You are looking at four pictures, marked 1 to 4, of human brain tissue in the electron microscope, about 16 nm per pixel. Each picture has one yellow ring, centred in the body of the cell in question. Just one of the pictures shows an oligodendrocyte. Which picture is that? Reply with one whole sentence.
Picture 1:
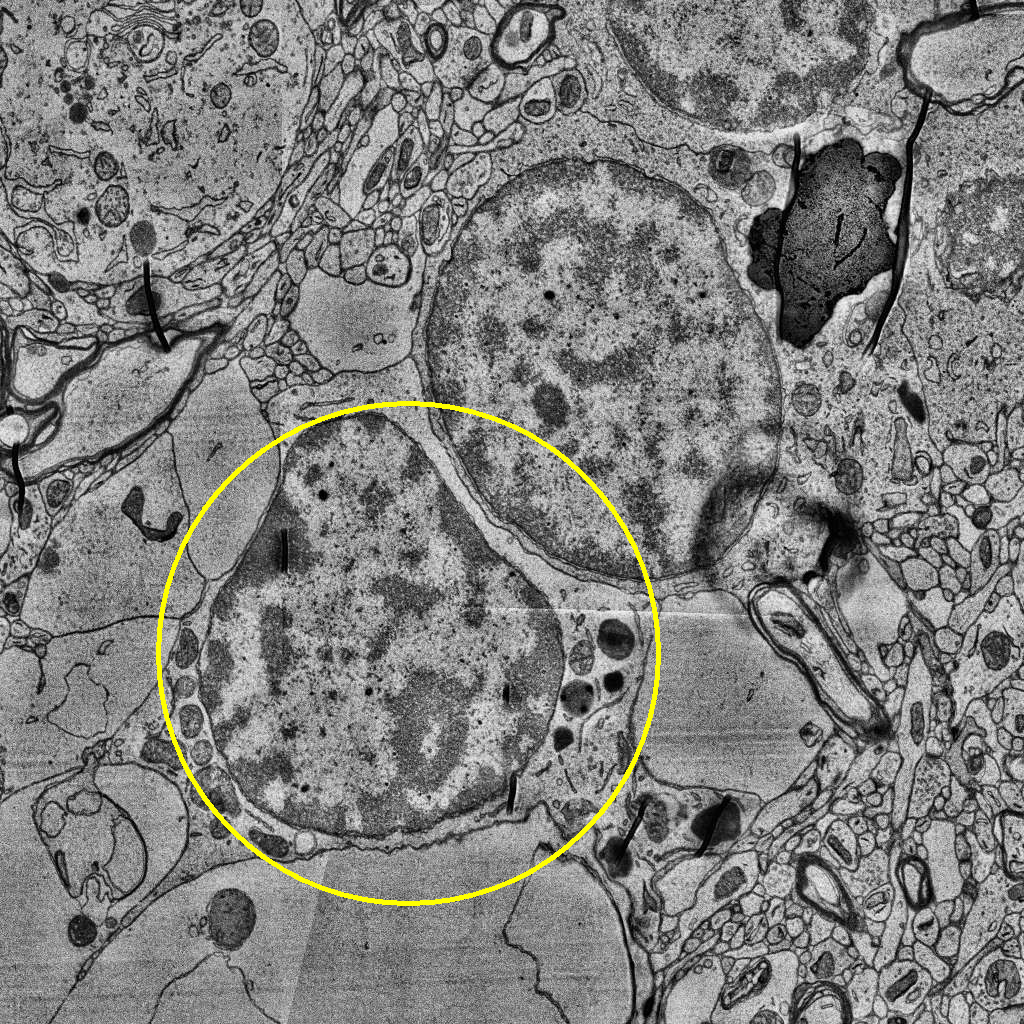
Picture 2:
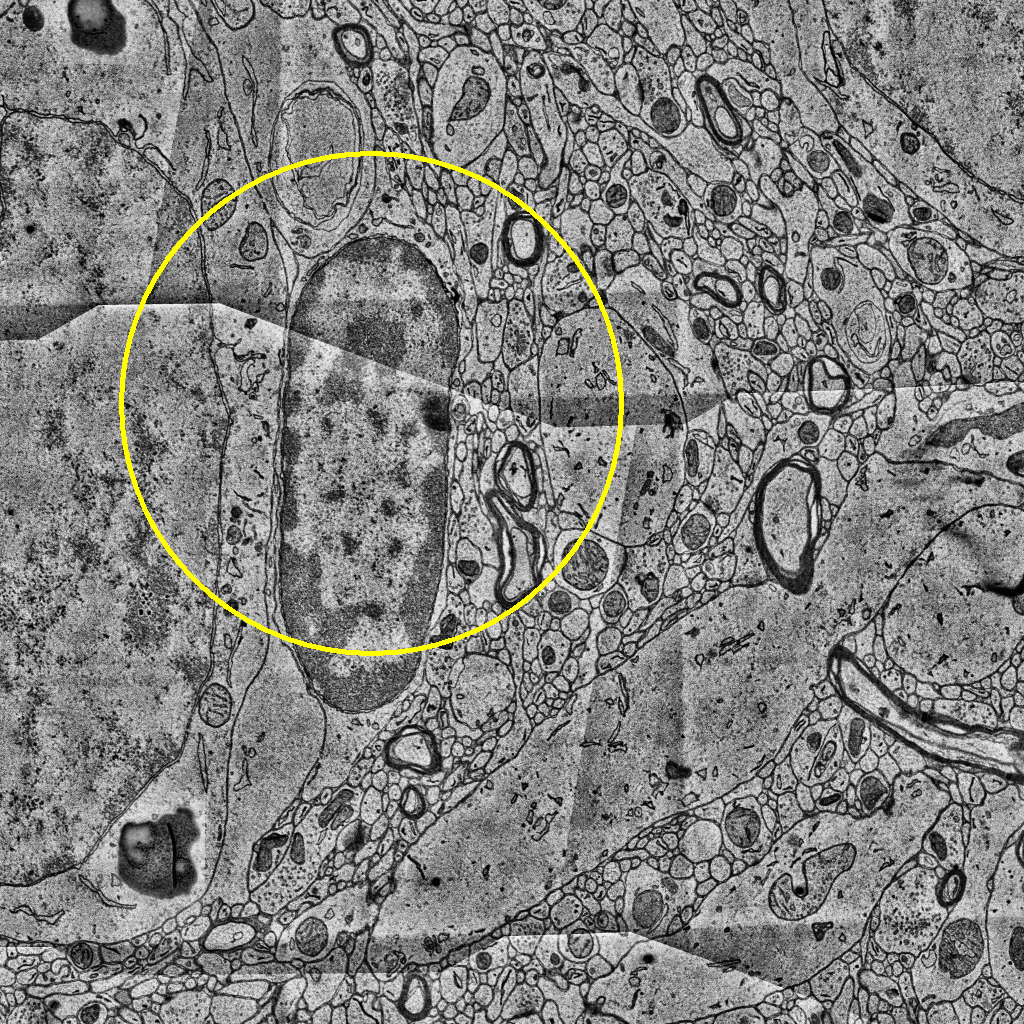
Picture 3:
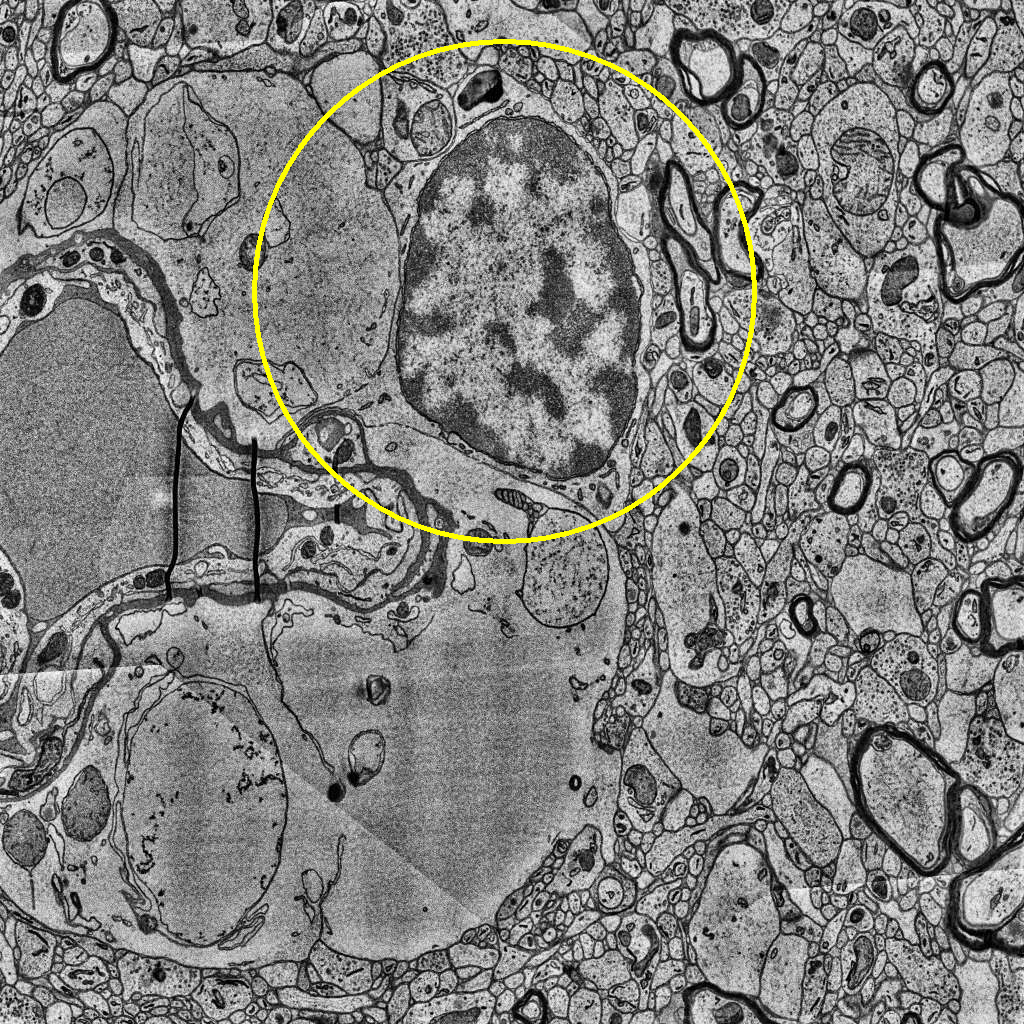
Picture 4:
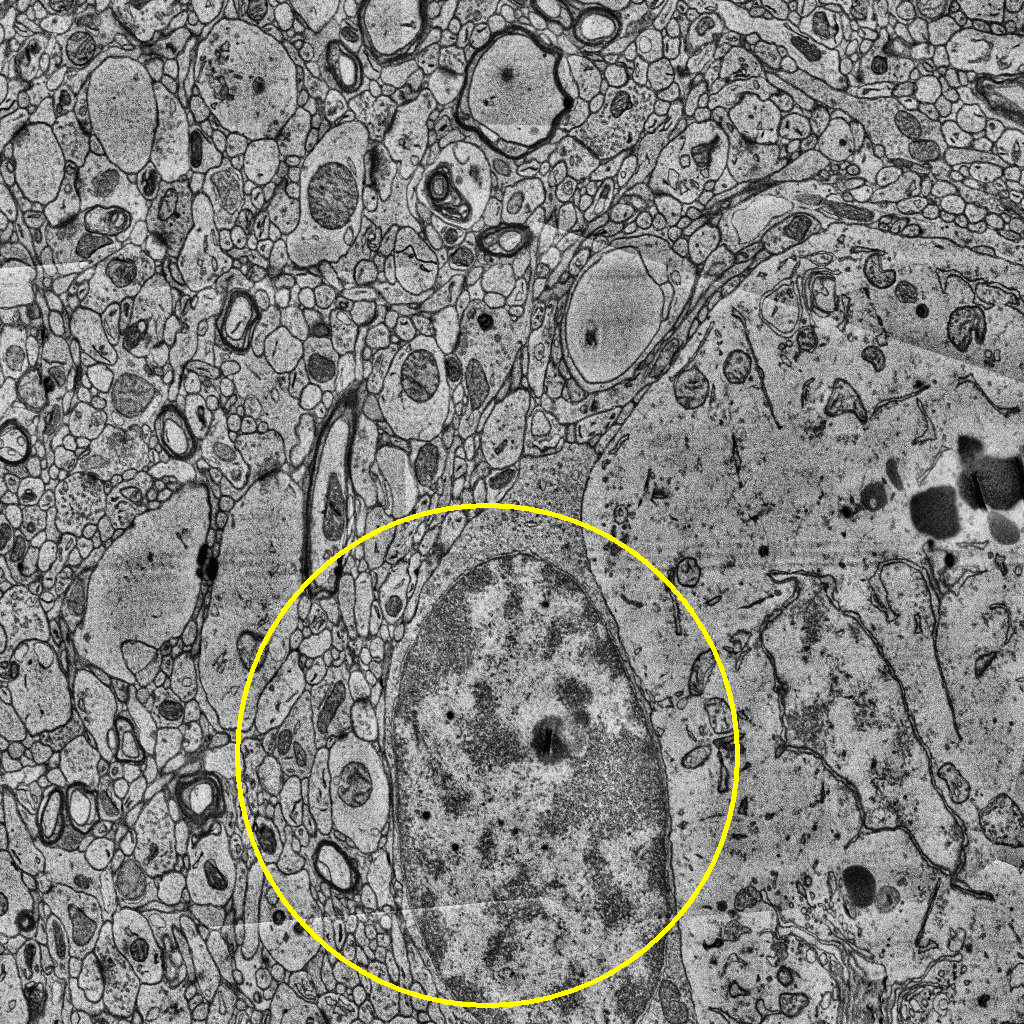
The picture with the oligodendrocyte is 4.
